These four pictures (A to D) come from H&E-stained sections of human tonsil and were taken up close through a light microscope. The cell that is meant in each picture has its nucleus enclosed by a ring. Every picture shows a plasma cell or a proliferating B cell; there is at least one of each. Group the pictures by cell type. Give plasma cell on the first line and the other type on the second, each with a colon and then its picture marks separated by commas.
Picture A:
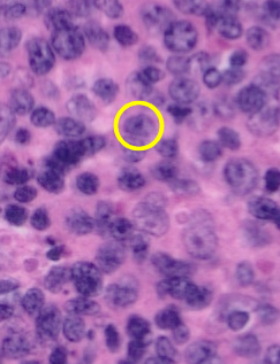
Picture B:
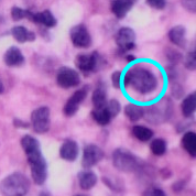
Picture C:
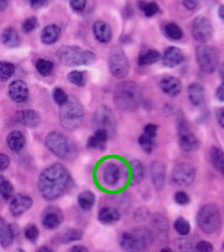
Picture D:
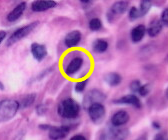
plasma cell: C, D
proliferating B cell: A, B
